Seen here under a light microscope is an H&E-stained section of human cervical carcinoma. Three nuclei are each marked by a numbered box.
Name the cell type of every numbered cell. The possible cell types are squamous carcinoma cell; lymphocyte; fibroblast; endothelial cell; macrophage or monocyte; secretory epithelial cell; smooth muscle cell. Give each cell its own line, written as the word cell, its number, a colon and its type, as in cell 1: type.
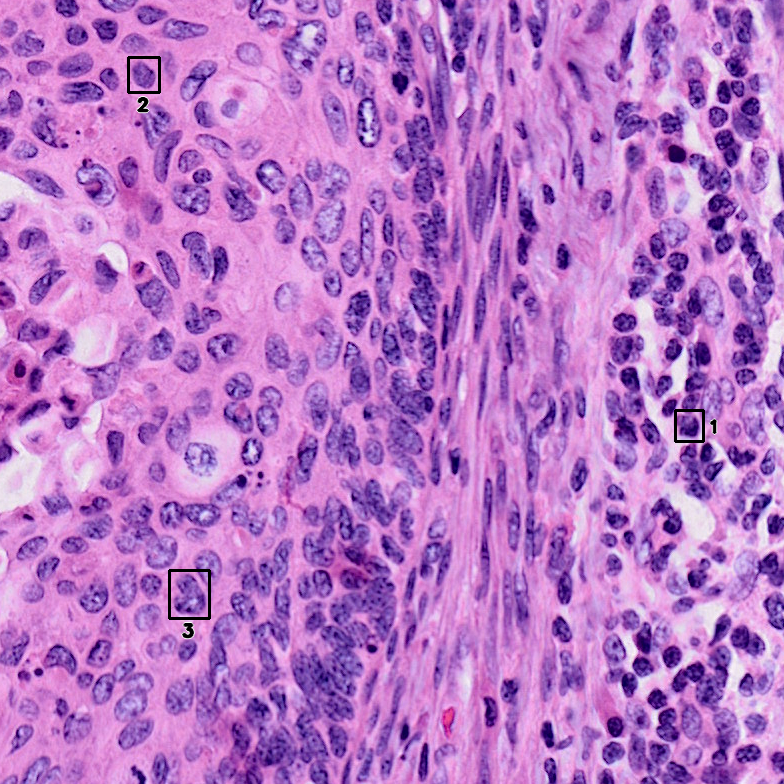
cell 1: lymphocyte
cell 2: squamous carcinoma cell
cell 3: squamous carcinoma cell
